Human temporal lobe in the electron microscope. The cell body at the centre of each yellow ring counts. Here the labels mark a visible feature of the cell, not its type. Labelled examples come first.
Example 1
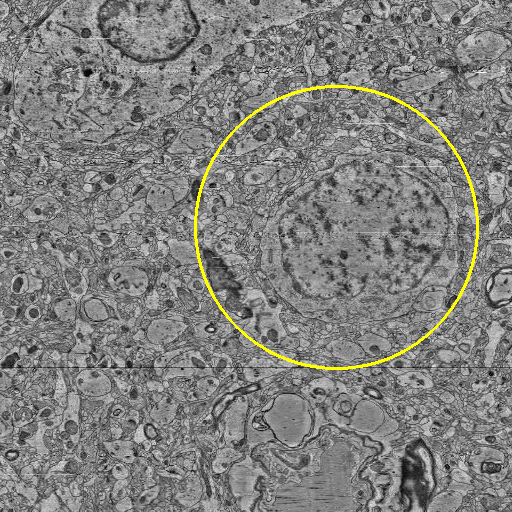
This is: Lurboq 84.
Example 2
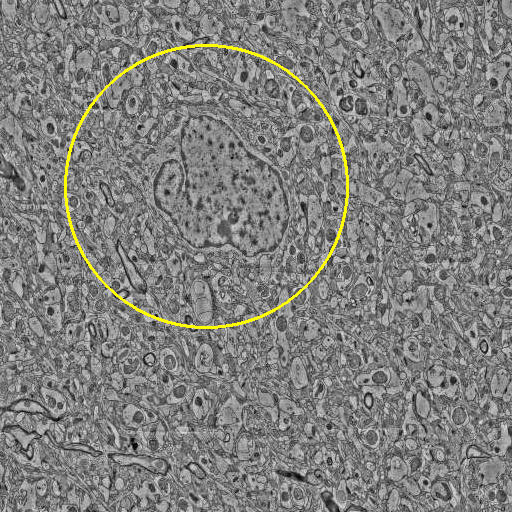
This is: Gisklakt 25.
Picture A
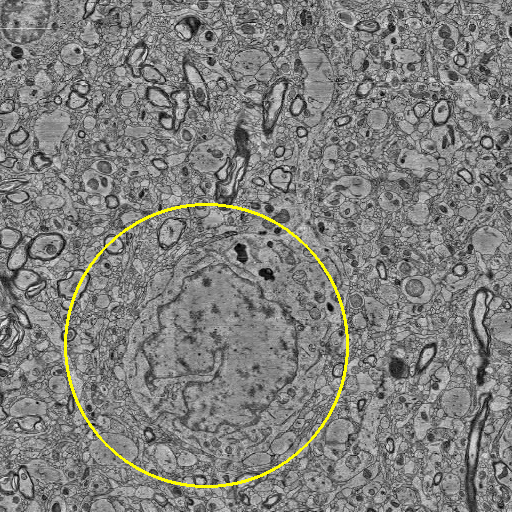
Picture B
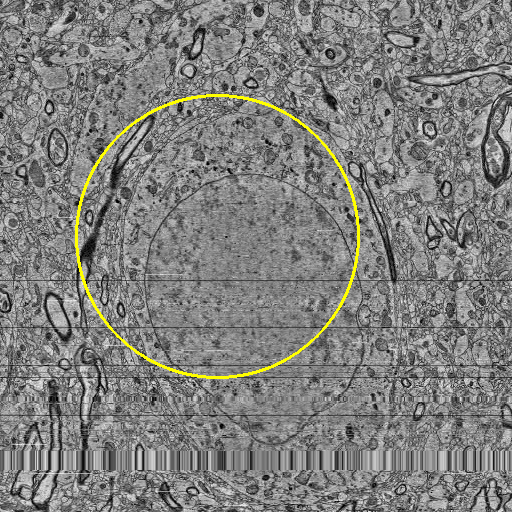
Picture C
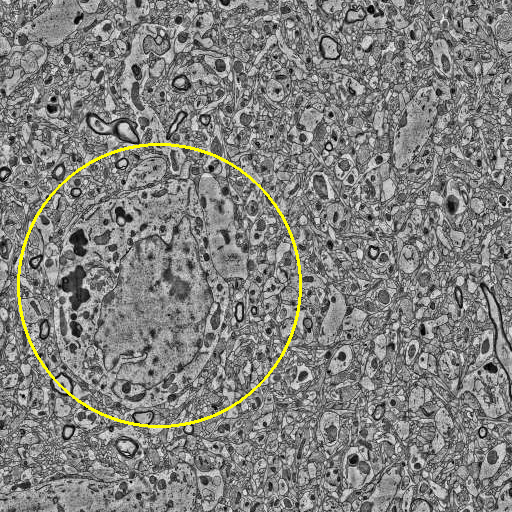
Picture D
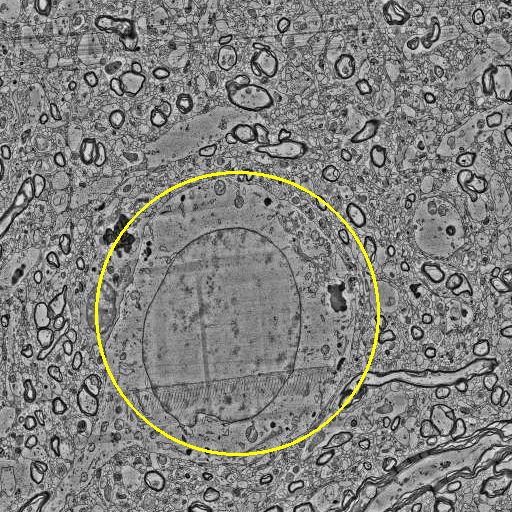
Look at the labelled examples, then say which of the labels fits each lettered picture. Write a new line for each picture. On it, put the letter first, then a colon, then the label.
A: Gisklakt 25.
B: Lurboq 84.
C: Gisklakt 25.
D: Lurboq 84.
